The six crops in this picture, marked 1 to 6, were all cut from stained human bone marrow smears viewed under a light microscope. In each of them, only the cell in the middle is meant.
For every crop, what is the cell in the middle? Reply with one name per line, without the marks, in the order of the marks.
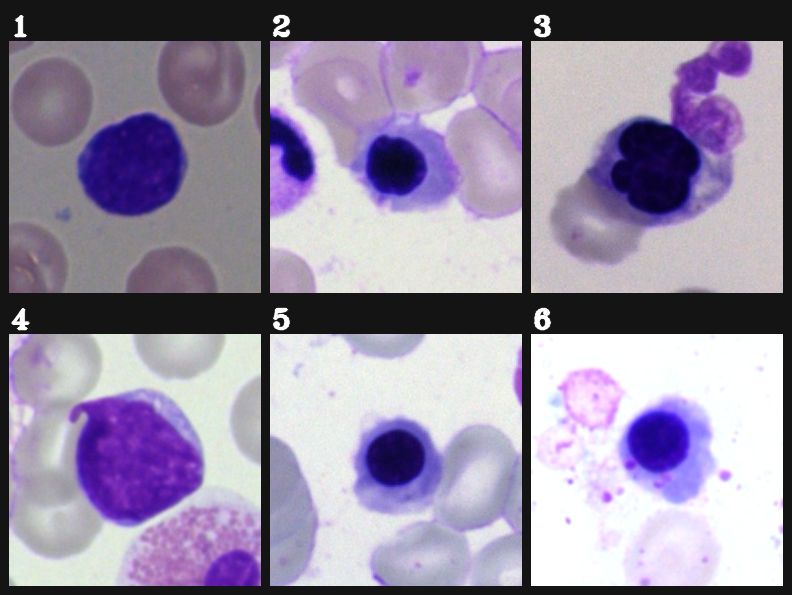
lymphocyte
erythroblast
erythroblast
blast
erythroblast
erythroblast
